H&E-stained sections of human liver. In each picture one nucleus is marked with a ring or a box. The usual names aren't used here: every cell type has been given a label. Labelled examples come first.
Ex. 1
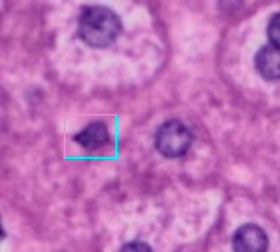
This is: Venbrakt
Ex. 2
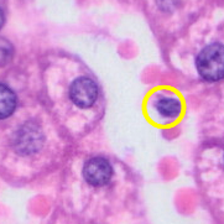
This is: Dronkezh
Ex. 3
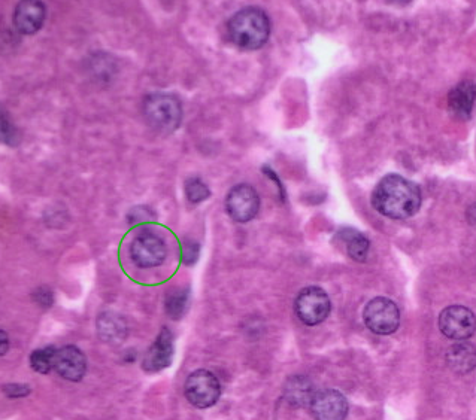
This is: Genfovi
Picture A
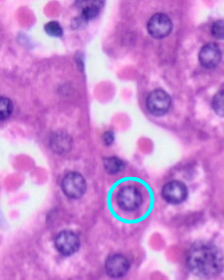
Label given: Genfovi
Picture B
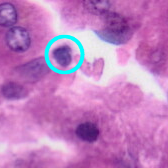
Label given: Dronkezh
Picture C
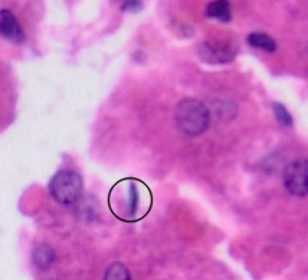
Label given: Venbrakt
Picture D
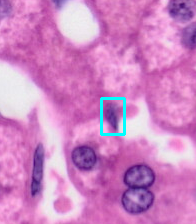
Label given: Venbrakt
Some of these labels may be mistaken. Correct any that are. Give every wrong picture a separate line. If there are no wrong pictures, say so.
All correct.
